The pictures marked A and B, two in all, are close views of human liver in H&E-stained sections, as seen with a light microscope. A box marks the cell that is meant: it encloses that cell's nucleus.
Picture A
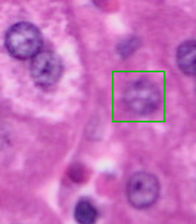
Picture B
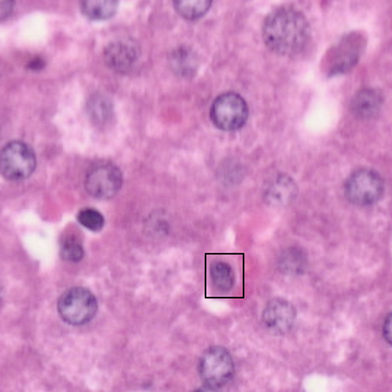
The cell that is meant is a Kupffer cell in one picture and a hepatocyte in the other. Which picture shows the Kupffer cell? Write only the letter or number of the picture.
B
